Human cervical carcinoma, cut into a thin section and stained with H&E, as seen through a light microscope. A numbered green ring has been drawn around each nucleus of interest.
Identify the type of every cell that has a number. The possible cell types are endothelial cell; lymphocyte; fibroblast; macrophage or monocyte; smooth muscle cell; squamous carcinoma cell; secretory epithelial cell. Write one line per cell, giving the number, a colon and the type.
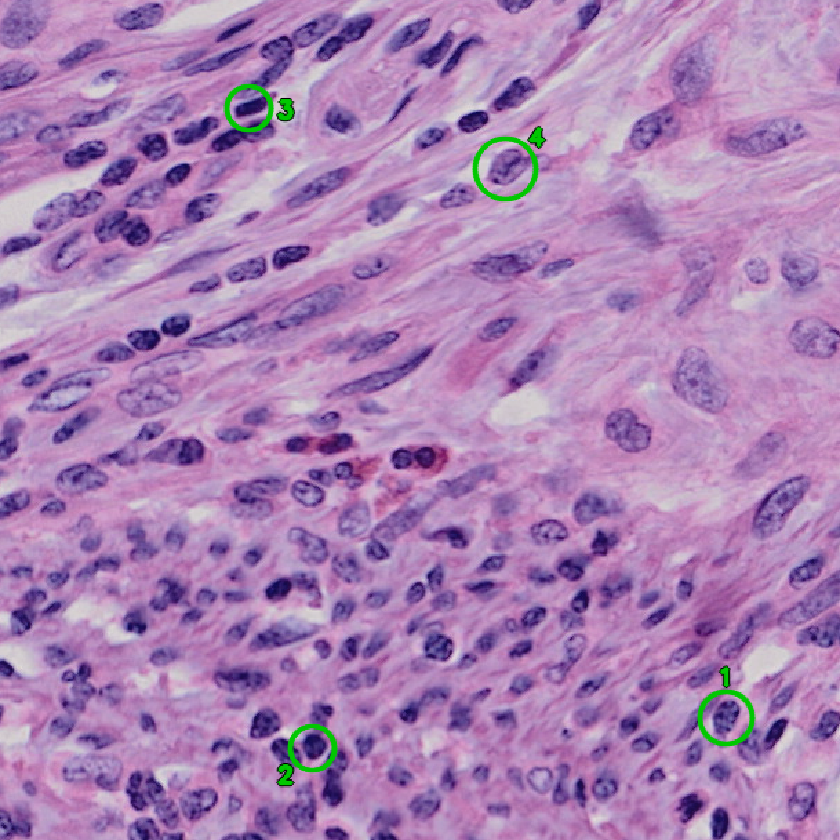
1: lymphocyte
2: lymphocyte
3: lymphocyte
4: macrophage or monocyte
